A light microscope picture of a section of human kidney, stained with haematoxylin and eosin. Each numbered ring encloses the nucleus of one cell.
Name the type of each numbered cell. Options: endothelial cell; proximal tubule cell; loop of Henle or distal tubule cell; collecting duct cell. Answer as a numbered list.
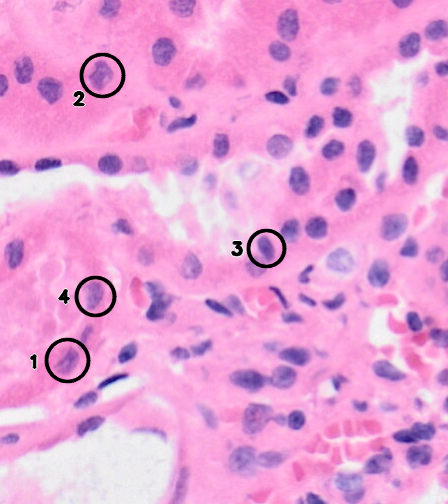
1. proximal tubule cell
2. proximal tubule cell
3. loop of Henle or distal tubule cell
4. proximal tubule cell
